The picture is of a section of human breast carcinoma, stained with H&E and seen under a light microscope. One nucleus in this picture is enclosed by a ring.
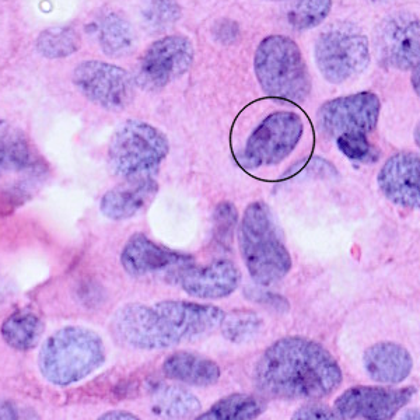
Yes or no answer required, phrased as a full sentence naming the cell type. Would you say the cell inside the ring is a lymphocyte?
No, by cell type the cell inside the ring is a carcinoma cell, not a lymphocyte.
